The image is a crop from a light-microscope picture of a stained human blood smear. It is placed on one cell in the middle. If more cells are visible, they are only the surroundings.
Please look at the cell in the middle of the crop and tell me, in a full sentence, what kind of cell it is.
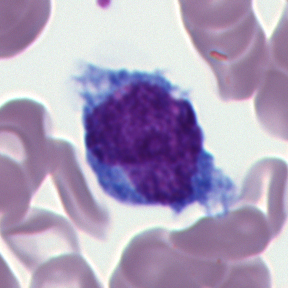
In this crop, the cell at the very middle is a monocyte.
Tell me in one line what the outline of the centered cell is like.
Seen at its edge, the cell is not smooth but ragged or projecting.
